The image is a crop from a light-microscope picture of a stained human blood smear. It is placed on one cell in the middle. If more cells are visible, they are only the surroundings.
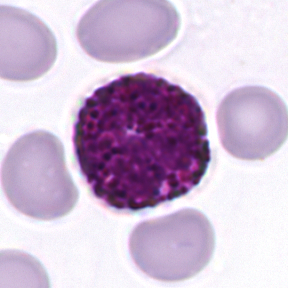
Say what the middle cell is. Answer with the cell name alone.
basophil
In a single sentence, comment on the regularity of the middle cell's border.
No projections interrupt the outline; it is smooth all the way round.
